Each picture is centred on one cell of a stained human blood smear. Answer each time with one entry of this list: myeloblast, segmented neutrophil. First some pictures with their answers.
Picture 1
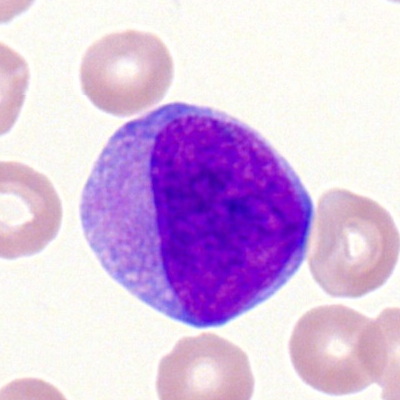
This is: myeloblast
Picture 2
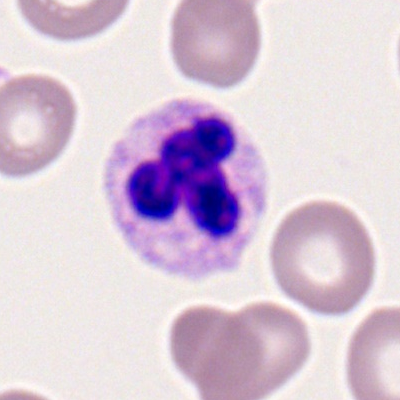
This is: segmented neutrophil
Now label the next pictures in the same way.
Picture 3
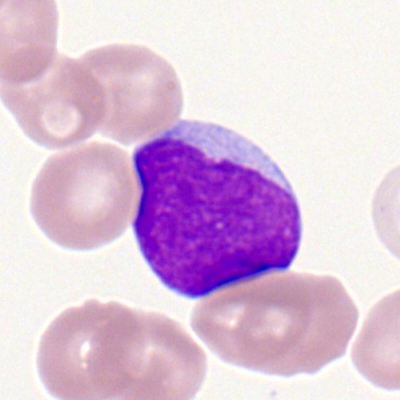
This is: myeloblast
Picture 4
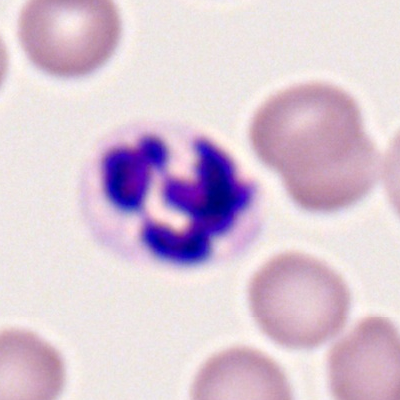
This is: segmented neutrophil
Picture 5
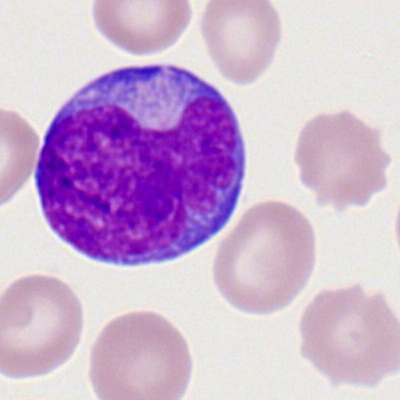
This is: myeloblast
